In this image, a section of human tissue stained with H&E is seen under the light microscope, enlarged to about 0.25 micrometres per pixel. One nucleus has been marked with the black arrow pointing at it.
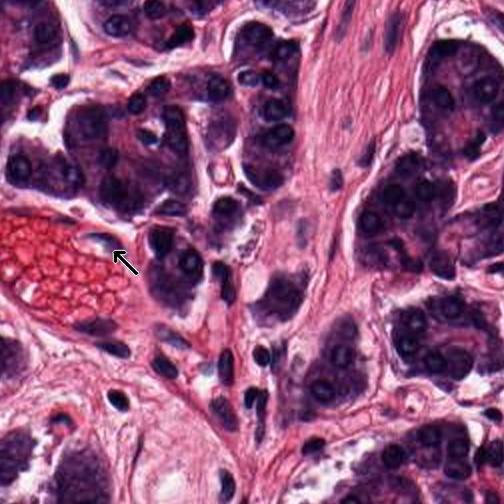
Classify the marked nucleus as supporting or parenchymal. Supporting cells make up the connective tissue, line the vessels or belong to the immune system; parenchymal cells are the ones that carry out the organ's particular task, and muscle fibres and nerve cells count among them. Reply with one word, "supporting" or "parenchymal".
supporting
